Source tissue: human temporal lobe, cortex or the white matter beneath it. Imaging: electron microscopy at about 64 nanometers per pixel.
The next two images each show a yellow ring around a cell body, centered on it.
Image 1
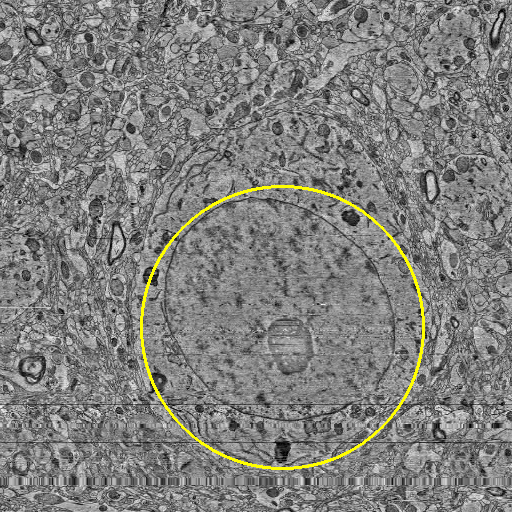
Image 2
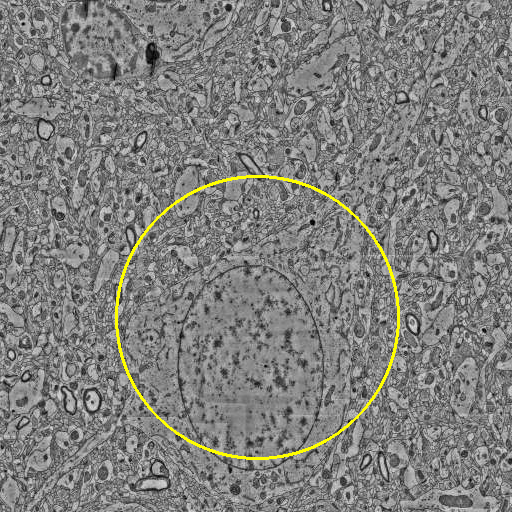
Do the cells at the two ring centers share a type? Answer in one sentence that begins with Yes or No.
Yes, across the two images the cells at the ring centers share one type.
